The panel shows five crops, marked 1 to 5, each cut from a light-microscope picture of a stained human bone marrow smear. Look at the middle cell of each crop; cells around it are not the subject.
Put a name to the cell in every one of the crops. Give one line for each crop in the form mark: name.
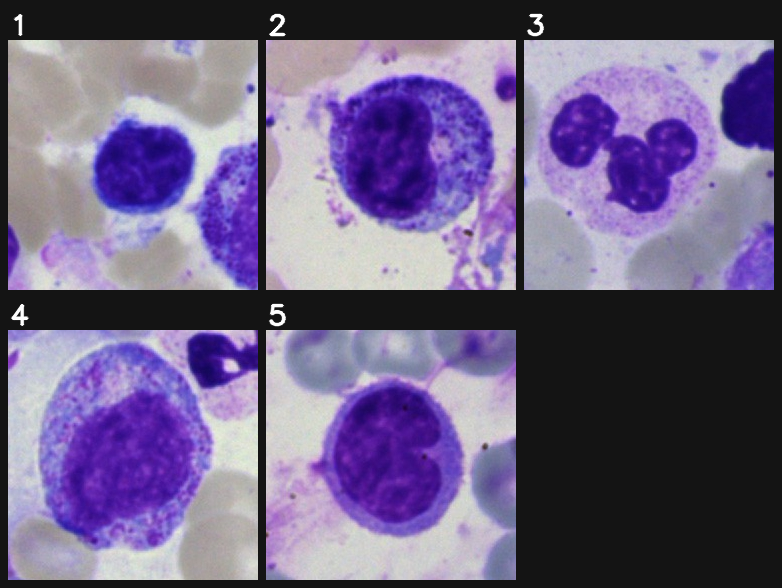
1: lymphocyte
2: promyelocyte
3: segmented neutrophil
4: myelocyte
5: monocyte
